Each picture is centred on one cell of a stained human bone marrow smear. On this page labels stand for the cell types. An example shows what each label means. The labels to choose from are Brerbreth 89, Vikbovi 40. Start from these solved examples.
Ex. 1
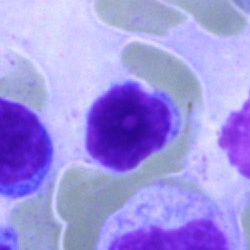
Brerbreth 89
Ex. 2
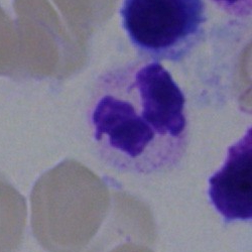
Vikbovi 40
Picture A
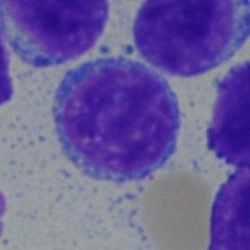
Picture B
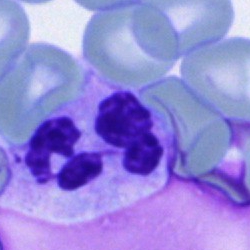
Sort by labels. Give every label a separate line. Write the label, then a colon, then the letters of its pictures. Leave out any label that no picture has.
Brerbreth 89: A
Vikbovi 40: B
